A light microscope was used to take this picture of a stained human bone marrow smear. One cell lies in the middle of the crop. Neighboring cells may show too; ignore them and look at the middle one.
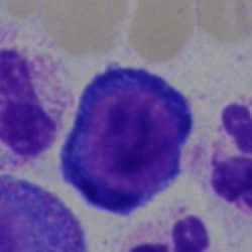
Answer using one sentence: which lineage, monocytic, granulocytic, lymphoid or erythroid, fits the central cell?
As for the cell in the middle, its lineage is erythroid.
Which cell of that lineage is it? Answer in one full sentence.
In this smear crop, the middle cell is a proerythroblast.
